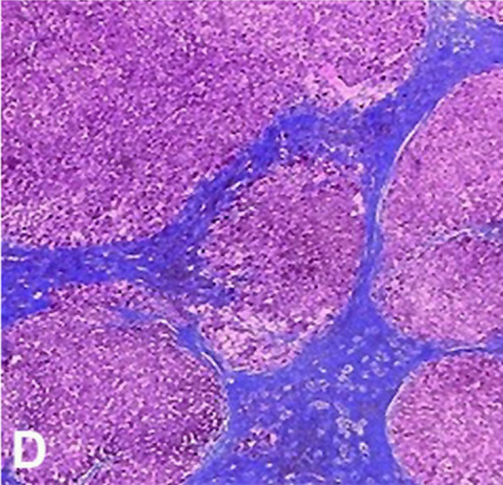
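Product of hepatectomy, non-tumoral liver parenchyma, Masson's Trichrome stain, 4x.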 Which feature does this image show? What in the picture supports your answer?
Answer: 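Regenerating nodules of hepatocytes. Each island is bordered by blue bands.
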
